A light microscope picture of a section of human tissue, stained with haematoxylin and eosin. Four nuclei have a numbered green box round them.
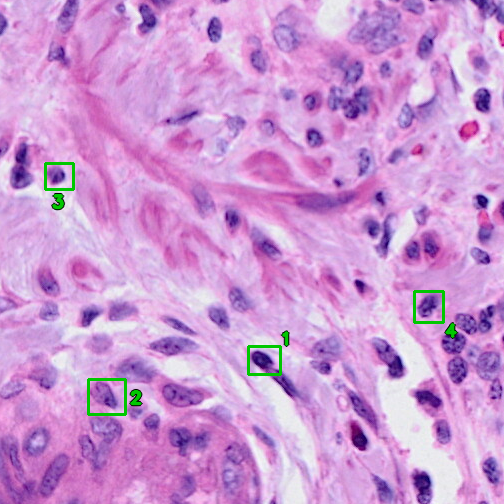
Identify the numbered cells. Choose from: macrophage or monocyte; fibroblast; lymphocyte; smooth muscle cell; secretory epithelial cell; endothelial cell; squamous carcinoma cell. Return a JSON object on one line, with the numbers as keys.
{"1": "lymphocyte", "2": "macrophage or monocyte", "3": "lymphocyte", "4": "lymphocyte"}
